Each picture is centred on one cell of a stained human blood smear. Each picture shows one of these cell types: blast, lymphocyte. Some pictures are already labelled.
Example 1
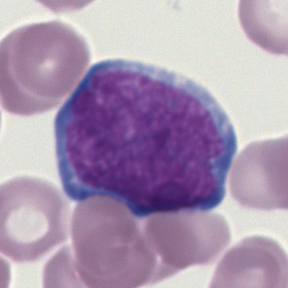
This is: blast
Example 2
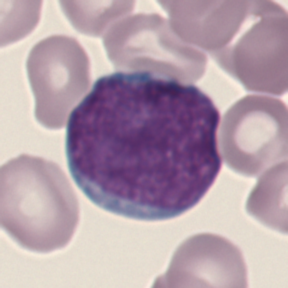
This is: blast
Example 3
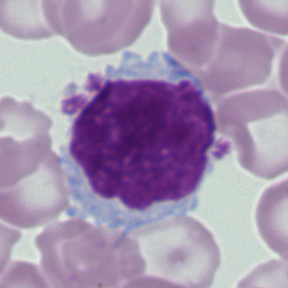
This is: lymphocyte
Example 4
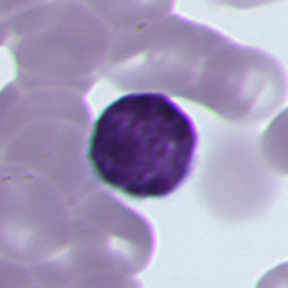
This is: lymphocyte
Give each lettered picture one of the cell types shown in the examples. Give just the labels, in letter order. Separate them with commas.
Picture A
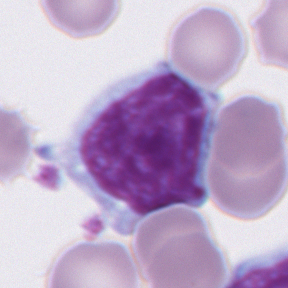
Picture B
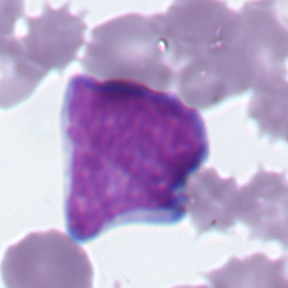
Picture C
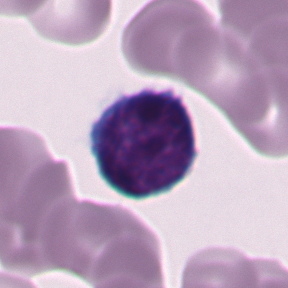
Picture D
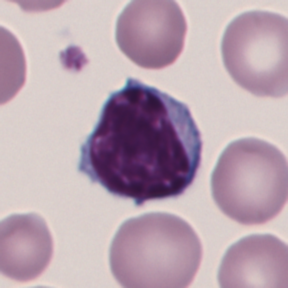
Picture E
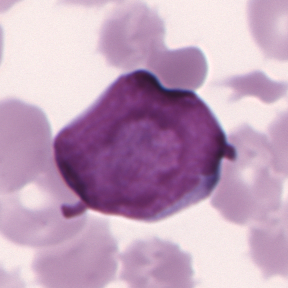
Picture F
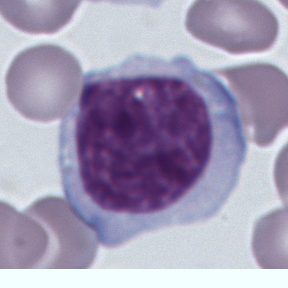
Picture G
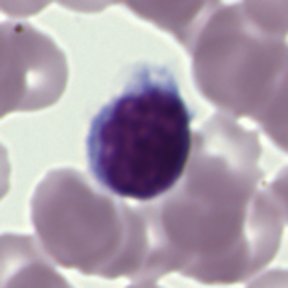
lymphocyte, blast, lymphocyte, lymphocyte, blast, blast, lymphocyte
